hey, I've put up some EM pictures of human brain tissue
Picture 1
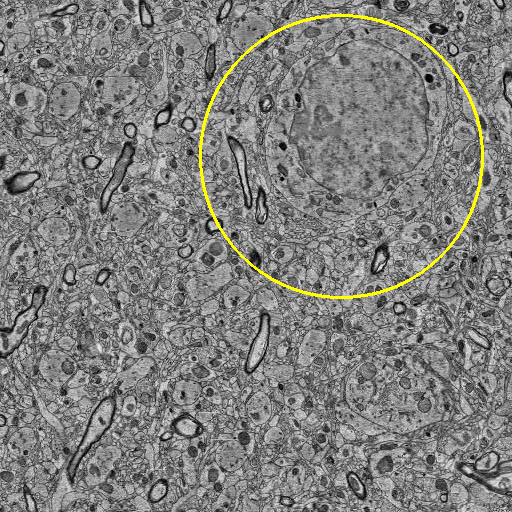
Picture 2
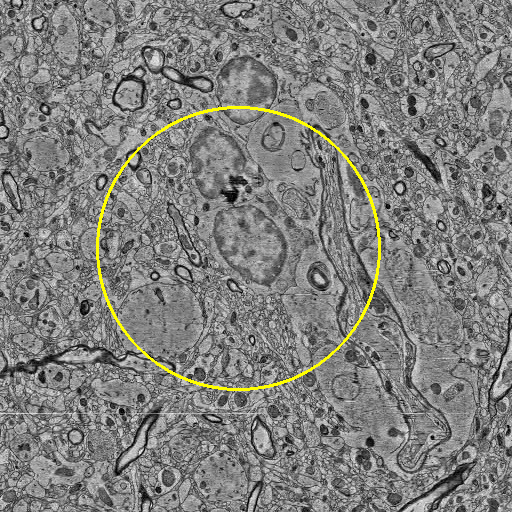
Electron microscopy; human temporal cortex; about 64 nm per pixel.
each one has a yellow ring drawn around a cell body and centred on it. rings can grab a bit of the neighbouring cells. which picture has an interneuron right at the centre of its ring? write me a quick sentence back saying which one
It's Picture 1.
